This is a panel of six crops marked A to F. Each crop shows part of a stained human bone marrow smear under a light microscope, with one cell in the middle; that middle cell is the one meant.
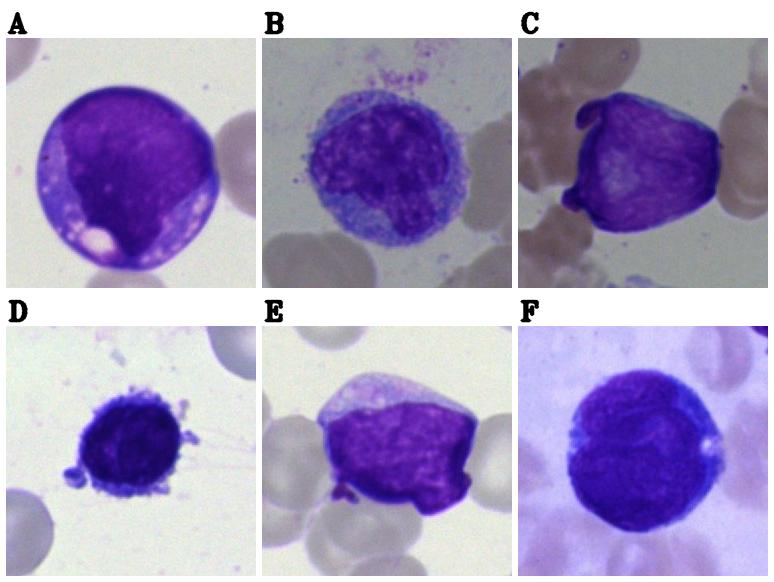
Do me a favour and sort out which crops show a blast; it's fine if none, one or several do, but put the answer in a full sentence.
The central cells of crops A, C, E and F fall into the category of blasts.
